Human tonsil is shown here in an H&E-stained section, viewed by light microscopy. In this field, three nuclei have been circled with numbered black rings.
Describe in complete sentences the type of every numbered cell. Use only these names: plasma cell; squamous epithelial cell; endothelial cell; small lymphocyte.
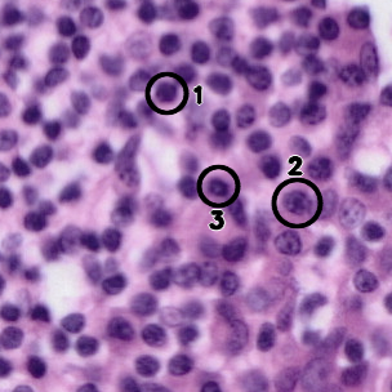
Cell 1 is a small lymphocyte. Cells 2 and 3 are plasma cells.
